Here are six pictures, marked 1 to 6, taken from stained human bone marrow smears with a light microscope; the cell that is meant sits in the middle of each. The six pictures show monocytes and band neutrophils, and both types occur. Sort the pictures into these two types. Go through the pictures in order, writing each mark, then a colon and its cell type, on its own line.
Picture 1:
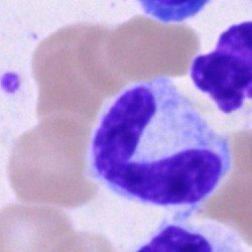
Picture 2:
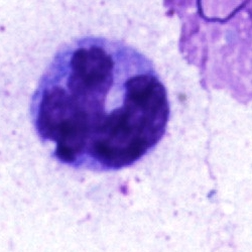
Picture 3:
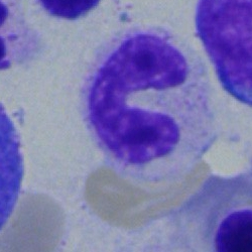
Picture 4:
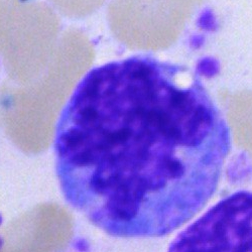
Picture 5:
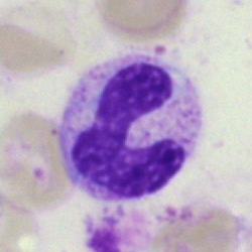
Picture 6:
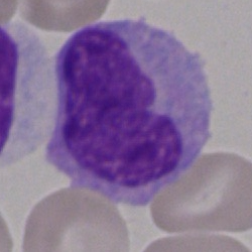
1: band neutrophil
2: monocyte
3: band neutrophil
4: monocyte
5: band neutrophil
6: monocyte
